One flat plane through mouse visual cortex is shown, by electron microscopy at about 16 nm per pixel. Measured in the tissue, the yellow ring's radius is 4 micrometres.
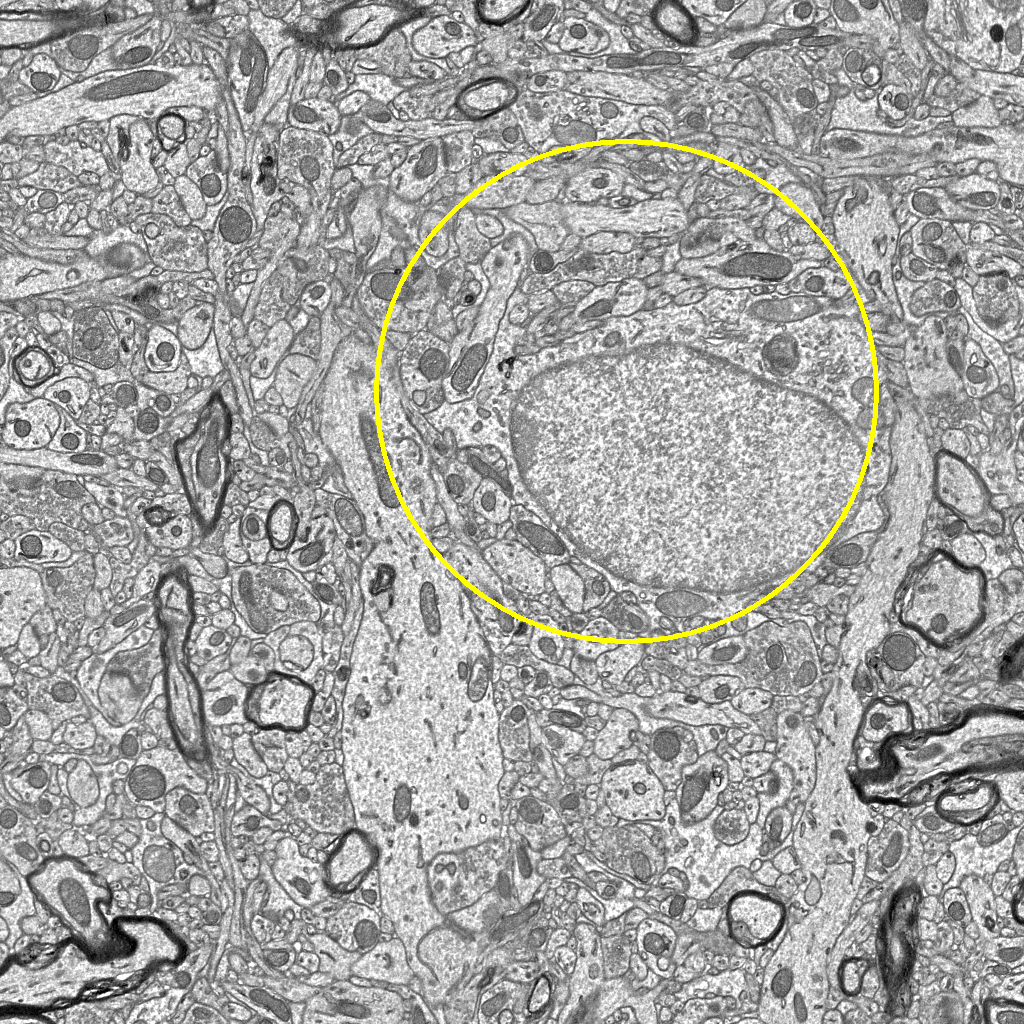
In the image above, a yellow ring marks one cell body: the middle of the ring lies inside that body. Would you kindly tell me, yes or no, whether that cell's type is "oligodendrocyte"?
no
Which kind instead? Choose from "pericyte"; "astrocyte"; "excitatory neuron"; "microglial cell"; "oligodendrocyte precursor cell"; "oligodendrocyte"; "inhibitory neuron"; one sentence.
The correct answer is that the cell is an astrocyte.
